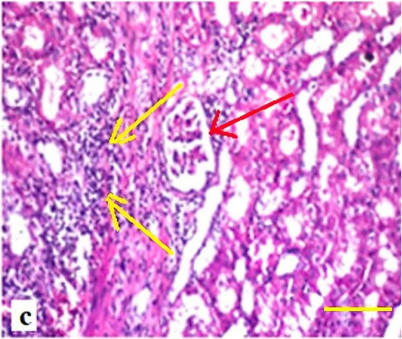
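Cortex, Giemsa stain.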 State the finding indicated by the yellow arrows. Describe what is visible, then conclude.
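Inflammatory cells infiltration. A dense cluster of small, dark, round nuclei lies between the tubules and a glomerulus. The cluster crowds out the normal tubular pattern in that area.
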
